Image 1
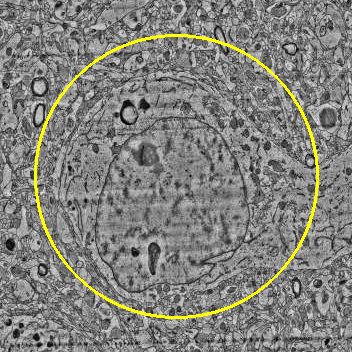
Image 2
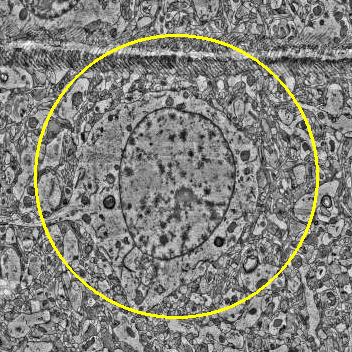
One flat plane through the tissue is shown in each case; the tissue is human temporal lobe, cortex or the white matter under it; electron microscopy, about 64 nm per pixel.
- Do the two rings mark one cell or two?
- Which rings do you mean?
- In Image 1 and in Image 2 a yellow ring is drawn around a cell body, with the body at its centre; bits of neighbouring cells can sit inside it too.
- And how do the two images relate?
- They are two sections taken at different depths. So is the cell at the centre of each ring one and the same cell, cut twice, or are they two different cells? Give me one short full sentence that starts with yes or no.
No, the two rings in this image mark separate cells.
